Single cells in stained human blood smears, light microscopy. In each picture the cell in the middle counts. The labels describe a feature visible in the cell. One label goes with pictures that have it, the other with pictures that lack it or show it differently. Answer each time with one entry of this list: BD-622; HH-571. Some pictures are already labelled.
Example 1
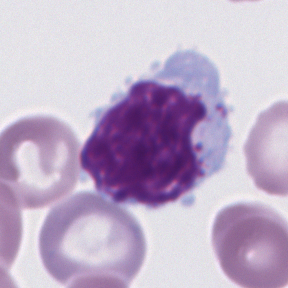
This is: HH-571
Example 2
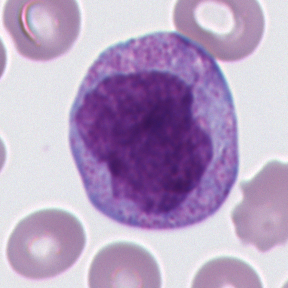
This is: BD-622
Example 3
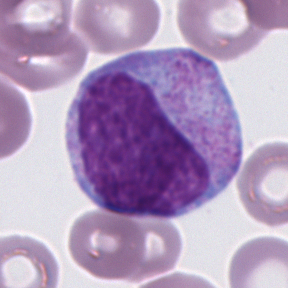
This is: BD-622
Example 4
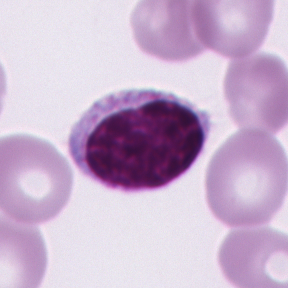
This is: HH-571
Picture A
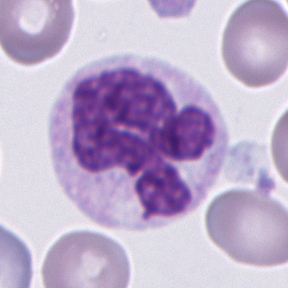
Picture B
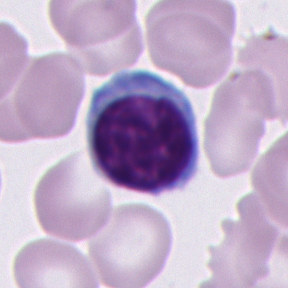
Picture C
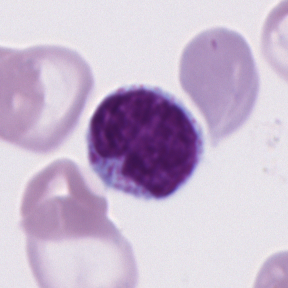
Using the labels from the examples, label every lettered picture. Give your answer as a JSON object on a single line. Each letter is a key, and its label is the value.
{"A": "BD-622", "B": "BD-622", "C": "BD-622"}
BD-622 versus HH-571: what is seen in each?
Seen in BD-622: smooth outline; seen in HH-571: ragged outline or projections.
